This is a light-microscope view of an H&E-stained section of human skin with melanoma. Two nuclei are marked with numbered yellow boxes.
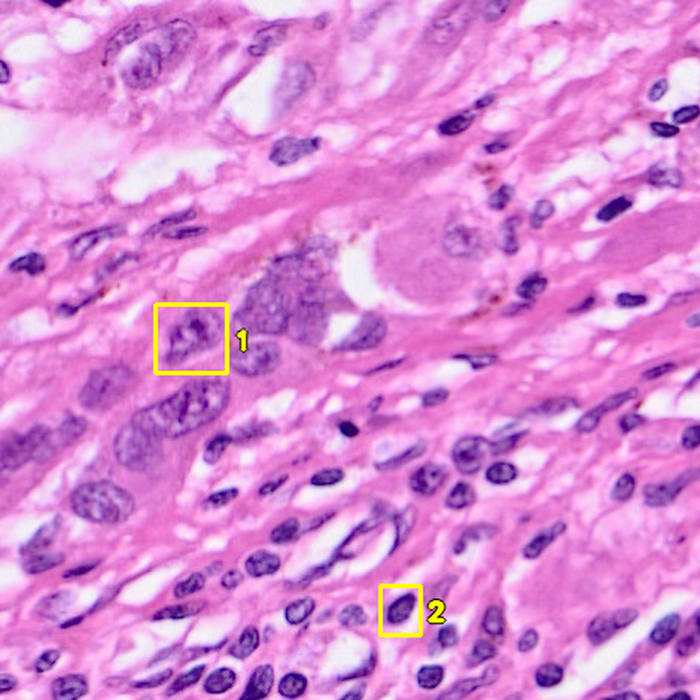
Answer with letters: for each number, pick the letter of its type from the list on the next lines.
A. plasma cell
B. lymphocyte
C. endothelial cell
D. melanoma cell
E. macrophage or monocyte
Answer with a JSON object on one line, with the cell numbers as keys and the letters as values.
{"1": "D", "2": "B"}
